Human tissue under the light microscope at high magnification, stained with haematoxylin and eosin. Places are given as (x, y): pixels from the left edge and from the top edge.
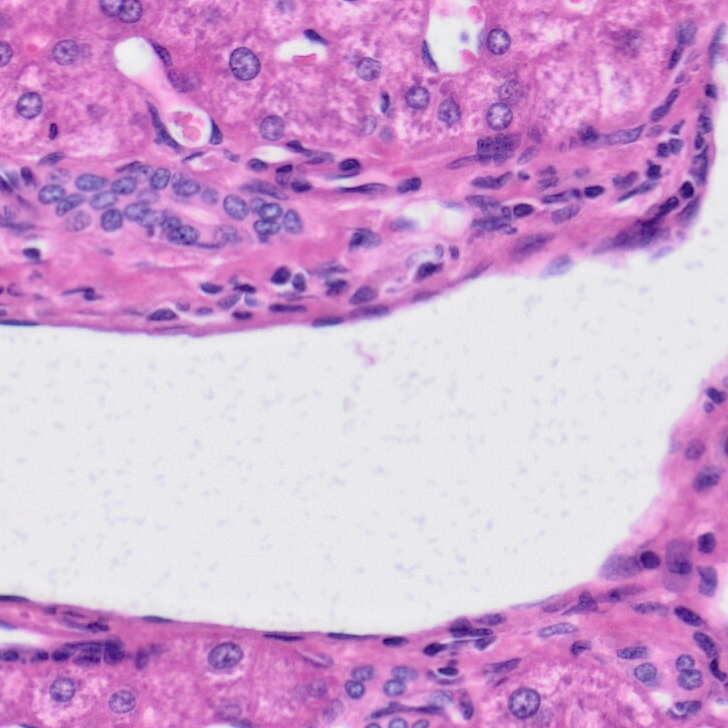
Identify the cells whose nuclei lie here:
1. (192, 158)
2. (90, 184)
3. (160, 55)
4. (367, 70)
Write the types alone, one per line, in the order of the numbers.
fibroblast or stellate cell
cholangiocyte
fibroblast or stellate cell
hepatocyte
